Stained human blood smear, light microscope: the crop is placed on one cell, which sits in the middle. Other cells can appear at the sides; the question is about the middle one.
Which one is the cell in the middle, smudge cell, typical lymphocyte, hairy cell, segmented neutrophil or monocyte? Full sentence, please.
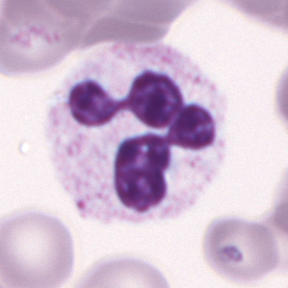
The single cell at the center of the crop is a segmented neutrophil.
